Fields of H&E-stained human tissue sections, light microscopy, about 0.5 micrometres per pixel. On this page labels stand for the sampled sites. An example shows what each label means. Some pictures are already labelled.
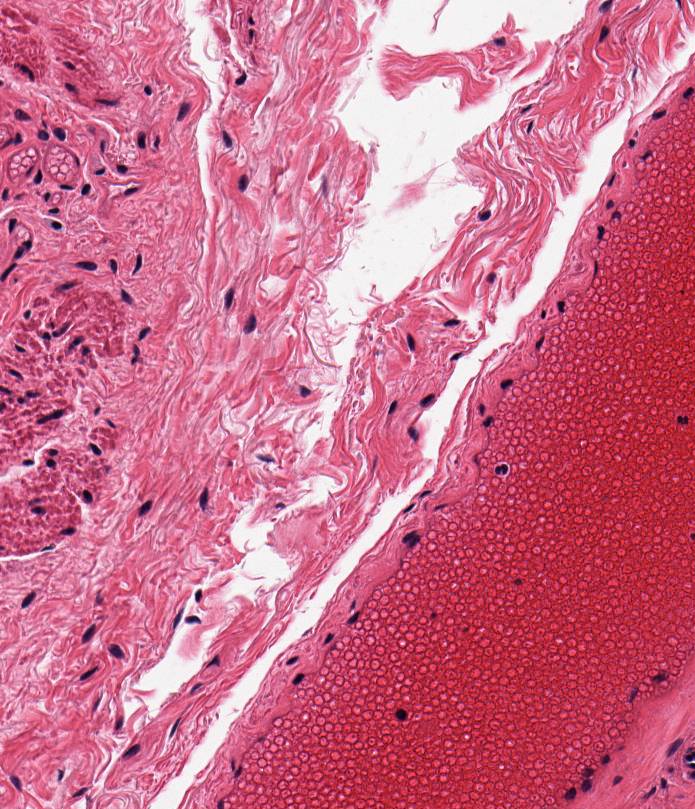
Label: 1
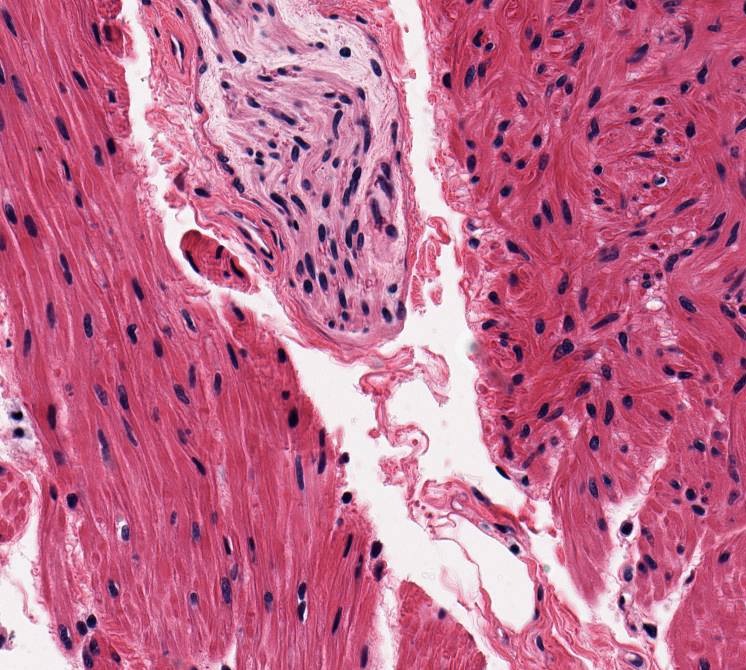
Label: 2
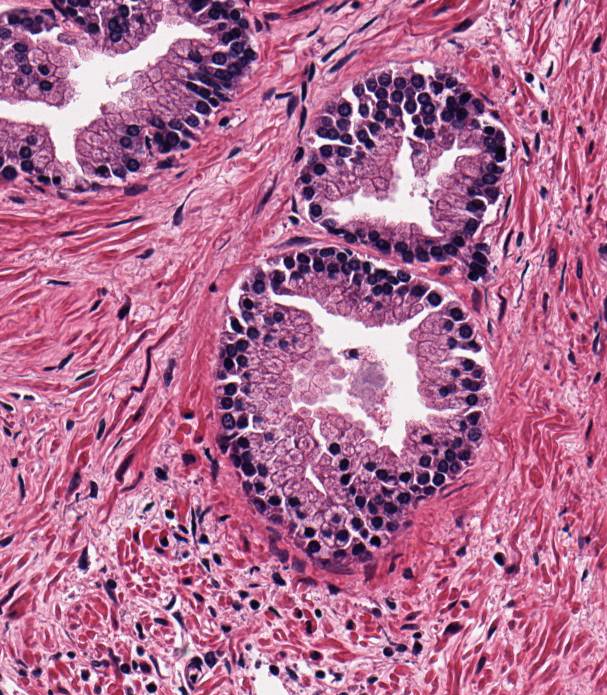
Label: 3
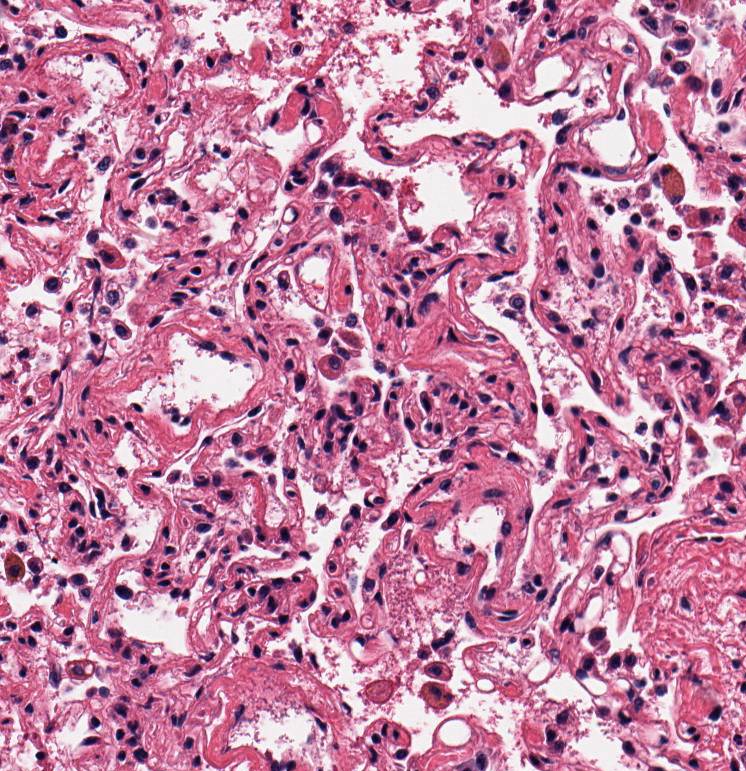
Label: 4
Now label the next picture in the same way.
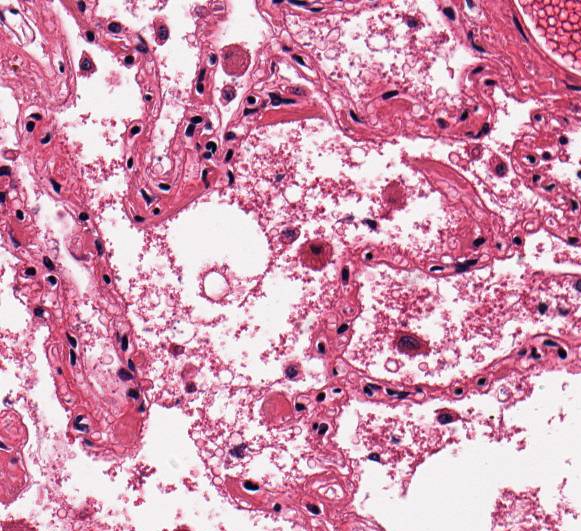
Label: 4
